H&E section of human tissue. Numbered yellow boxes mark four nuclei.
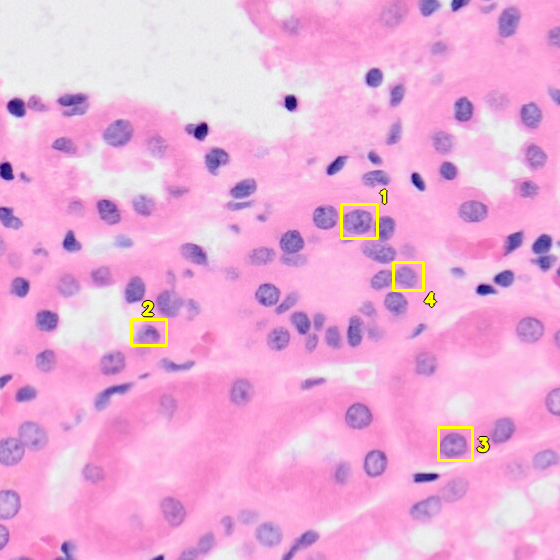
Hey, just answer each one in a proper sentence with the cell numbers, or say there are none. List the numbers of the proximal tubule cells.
In this set of numbered cells, only cell 3 is a proximal tubule cell.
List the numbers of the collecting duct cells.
The cells whose numbers are 1 and 4 are collecting duct cells.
